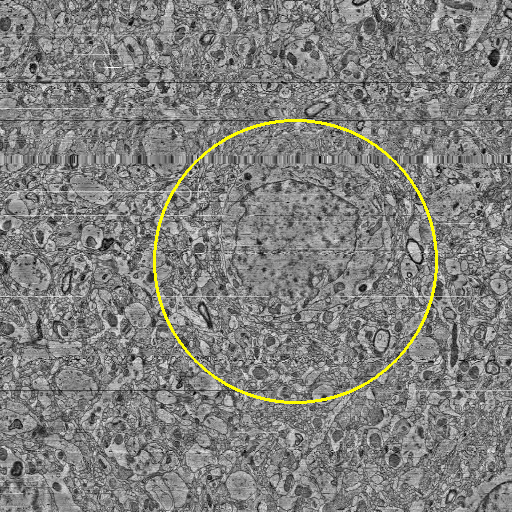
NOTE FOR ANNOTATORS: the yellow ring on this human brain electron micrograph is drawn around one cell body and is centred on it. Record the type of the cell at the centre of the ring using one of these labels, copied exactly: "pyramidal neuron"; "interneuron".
interneuron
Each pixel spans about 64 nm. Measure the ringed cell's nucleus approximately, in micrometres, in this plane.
About 8 micrometers across, in this plane.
